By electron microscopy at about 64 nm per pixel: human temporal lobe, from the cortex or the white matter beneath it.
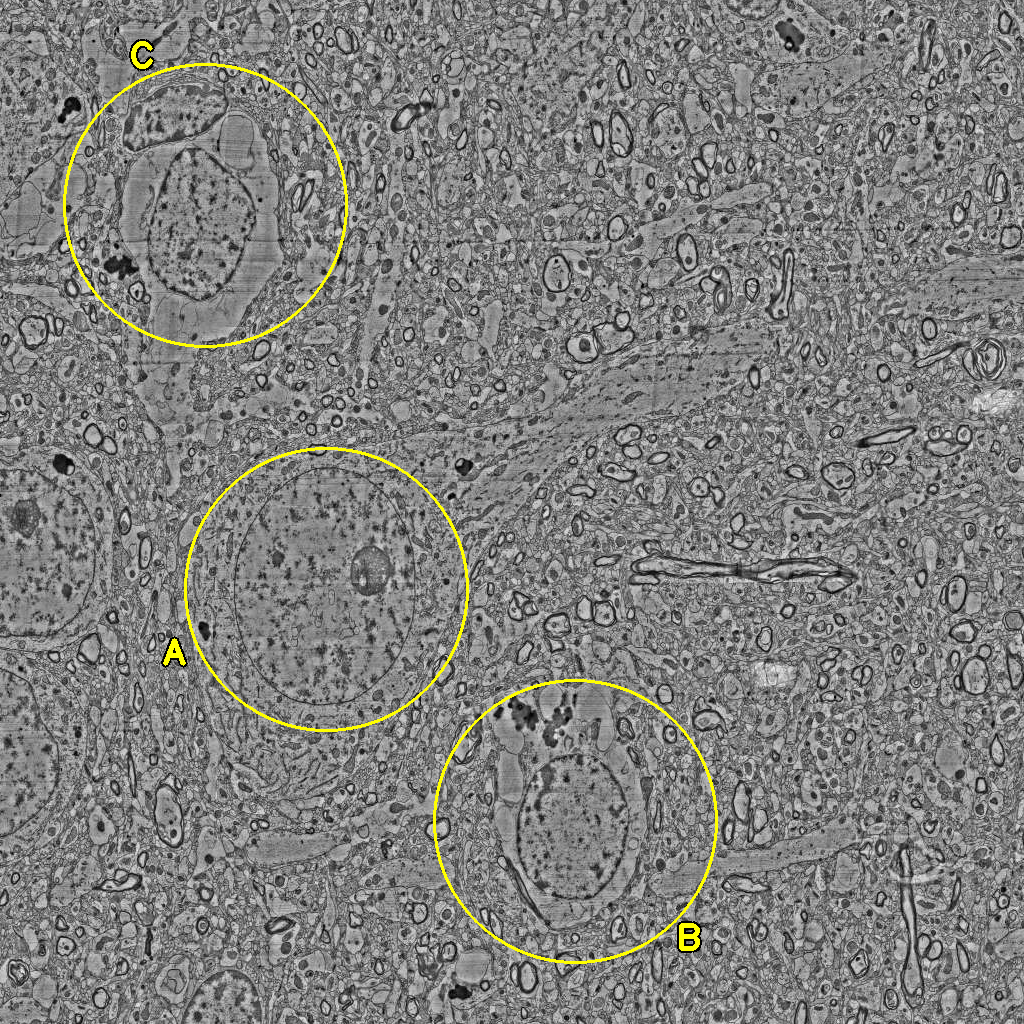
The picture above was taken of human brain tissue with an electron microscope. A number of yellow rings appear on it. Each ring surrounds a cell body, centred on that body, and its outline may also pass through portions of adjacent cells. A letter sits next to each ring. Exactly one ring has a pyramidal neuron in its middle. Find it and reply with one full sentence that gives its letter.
Letter A labels the ring whose centre falls on a cell of that kind.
